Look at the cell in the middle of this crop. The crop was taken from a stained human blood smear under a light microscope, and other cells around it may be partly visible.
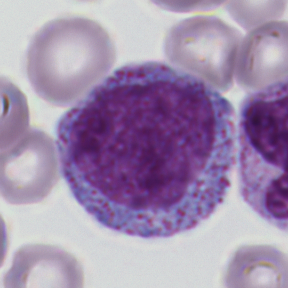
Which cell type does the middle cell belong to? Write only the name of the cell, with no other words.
promyelocyte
